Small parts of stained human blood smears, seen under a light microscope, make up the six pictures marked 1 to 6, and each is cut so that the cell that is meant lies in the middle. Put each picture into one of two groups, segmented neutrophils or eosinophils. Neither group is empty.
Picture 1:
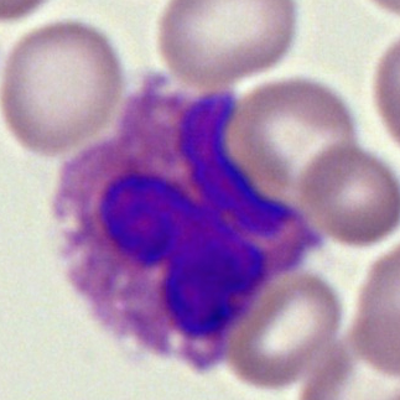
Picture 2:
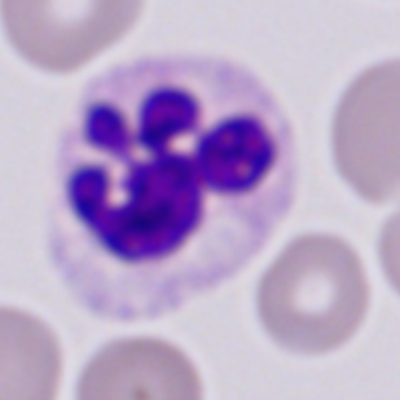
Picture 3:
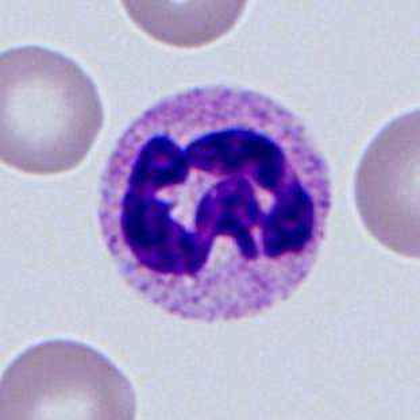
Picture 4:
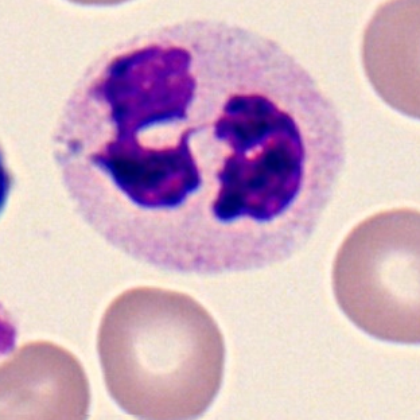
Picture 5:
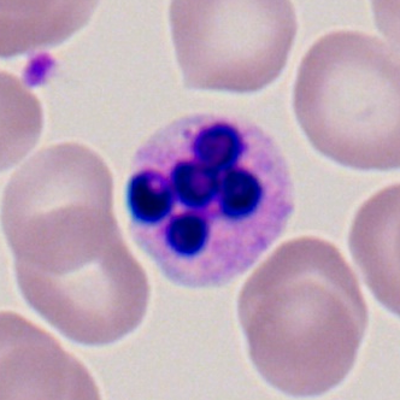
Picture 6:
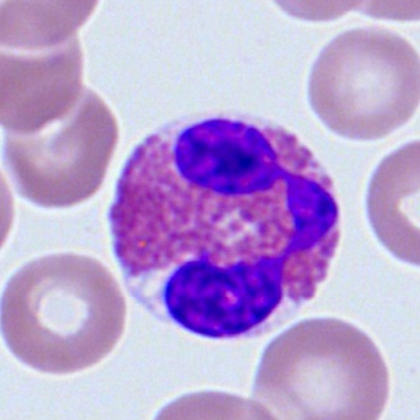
1: eosinophil
2: segmented neutrophil
3: segmented neutrophil
4: segmented neutrophil
5: segmented neutrophil
6: eosinophil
